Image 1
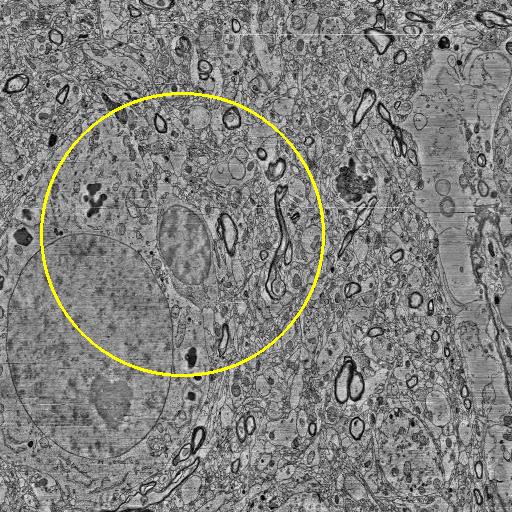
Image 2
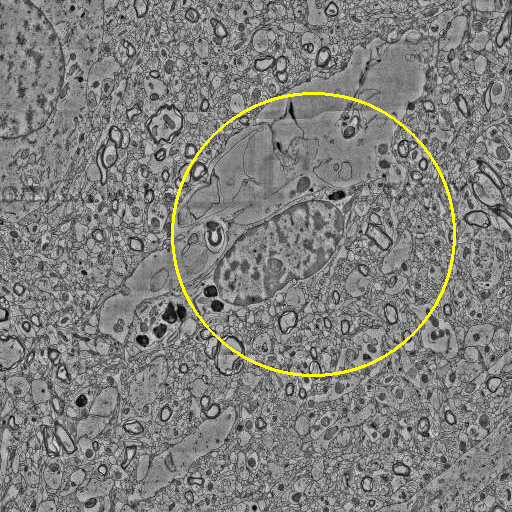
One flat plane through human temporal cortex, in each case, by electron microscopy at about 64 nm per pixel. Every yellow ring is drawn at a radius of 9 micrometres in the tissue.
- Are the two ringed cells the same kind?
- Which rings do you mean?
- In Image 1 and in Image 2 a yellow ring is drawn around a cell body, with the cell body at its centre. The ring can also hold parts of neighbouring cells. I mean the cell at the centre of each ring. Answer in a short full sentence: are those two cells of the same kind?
No, the cells are of two kinds.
